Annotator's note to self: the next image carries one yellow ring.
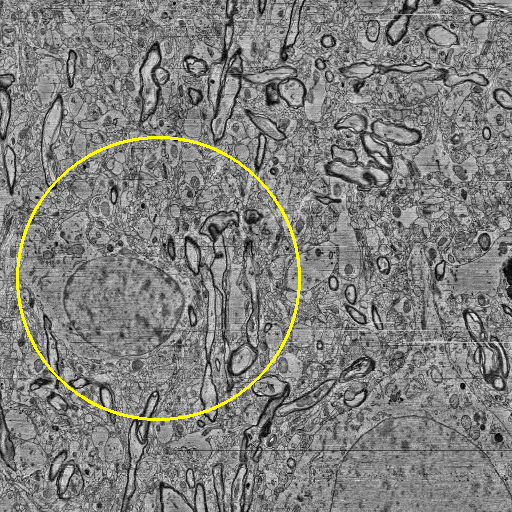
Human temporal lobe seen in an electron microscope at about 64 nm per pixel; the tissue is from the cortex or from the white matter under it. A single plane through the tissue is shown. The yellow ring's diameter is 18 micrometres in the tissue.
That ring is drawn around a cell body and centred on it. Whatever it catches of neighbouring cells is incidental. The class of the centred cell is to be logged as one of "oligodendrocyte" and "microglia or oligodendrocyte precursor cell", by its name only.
microglia or oligodendrocyte precursor cell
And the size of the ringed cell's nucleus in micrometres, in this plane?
In this plane, approximately 8 micrometres across.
